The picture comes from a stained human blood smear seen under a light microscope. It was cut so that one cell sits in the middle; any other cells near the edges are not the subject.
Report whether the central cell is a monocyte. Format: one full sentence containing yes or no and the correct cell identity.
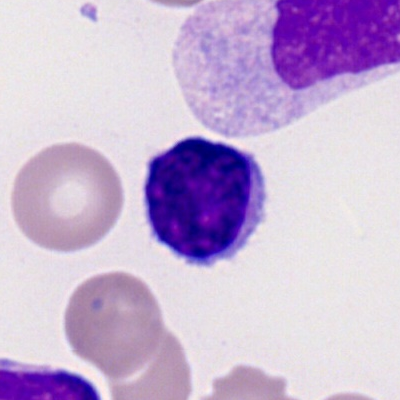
No, the cell at the centre of the crop corresponds to a lymphocyte, not a monocyte.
